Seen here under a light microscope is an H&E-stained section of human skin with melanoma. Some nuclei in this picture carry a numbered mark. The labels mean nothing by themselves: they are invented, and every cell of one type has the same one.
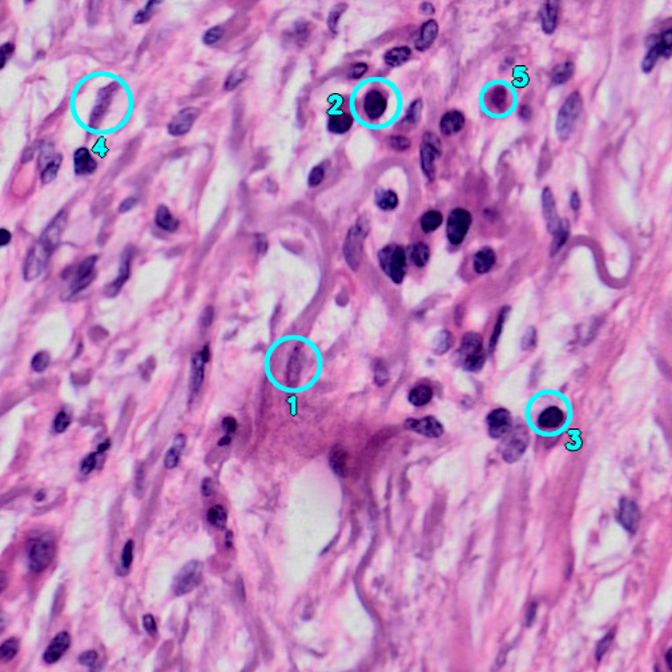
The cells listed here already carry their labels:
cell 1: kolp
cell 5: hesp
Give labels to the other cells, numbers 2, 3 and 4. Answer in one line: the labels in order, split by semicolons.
hesp; hesp; kolp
